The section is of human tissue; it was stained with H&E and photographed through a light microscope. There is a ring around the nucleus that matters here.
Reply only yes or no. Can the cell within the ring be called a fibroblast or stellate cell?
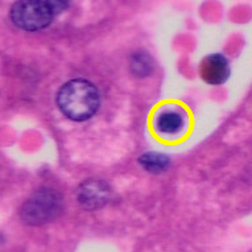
no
